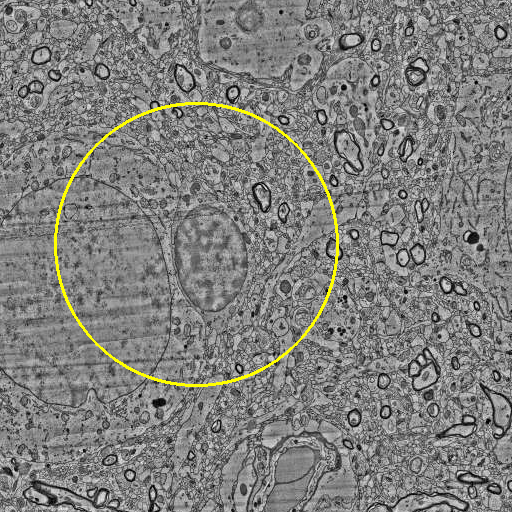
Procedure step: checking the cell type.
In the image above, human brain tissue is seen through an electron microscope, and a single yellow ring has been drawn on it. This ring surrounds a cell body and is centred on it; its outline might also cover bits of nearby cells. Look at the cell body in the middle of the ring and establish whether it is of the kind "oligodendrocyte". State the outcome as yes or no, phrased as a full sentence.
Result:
Yes, the cell body at the ring's centre in the image is of the kind in question.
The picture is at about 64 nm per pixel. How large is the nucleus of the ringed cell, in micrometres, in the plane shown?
The nucleus comes to roughly 7 by 5 micrometres in this plane.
